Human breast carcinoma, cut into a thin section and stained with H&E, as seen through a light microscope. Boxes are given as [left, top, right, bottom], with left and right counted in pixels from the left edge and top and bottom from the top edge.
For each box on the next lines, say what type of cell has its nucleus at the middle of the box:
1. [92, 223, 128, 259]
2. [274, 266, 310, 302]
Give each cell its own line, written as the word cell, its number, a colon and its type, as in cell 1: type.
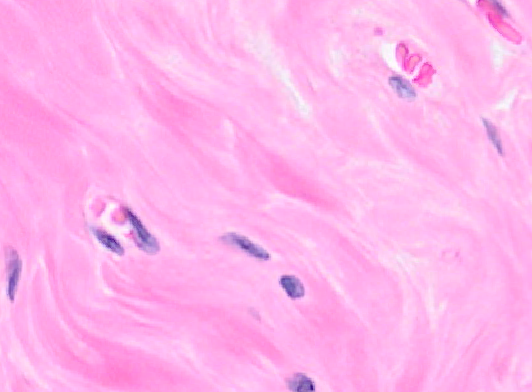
cell 1: endothelial cell
cell 2: lymphocyte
